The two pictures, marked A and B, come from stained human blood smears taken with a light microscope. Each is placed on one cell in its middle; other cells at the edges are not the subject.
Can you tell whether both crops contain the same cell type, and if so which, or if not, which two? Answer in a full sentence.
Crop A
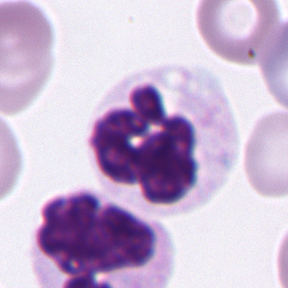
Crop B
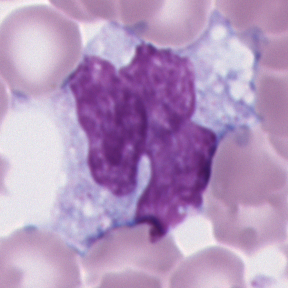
No, crop B centres on a monocyte, and crop A centres on a segmented neutrophil.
